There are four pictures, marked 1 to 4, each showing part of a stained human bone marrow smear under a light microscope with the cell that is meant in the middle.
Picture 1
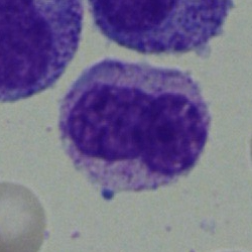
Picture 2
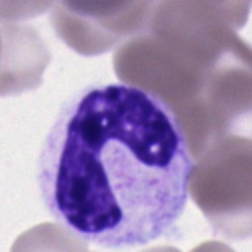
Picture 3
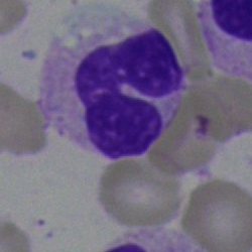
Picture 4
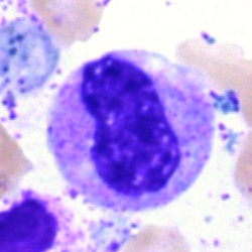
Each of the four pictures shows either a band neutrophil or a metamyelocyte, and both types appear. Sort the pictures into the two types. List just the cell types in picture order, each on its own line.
band neutrophil
band neutrophil
band neutrophil
metamyelocyte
